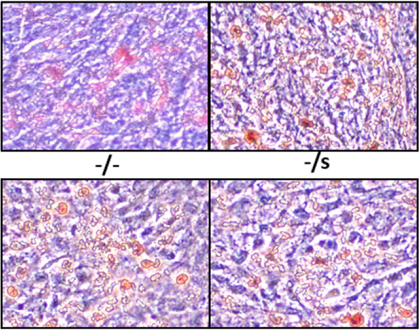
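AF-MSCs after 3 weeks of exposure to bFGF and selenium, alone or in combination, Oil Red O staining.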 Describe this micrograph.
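Within the cytoplasm of many cells lie round droplets outlined or filled in red-orange, scattered singly or in small groups across the field. In one field the red droplets are sparse and the red colour appears more as faint diffuse patches, while in the other fields the round red-rimmed droplets are numerous and spread evenly between the nuclei. The cells form a continuous sheet without clear borders between them.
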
